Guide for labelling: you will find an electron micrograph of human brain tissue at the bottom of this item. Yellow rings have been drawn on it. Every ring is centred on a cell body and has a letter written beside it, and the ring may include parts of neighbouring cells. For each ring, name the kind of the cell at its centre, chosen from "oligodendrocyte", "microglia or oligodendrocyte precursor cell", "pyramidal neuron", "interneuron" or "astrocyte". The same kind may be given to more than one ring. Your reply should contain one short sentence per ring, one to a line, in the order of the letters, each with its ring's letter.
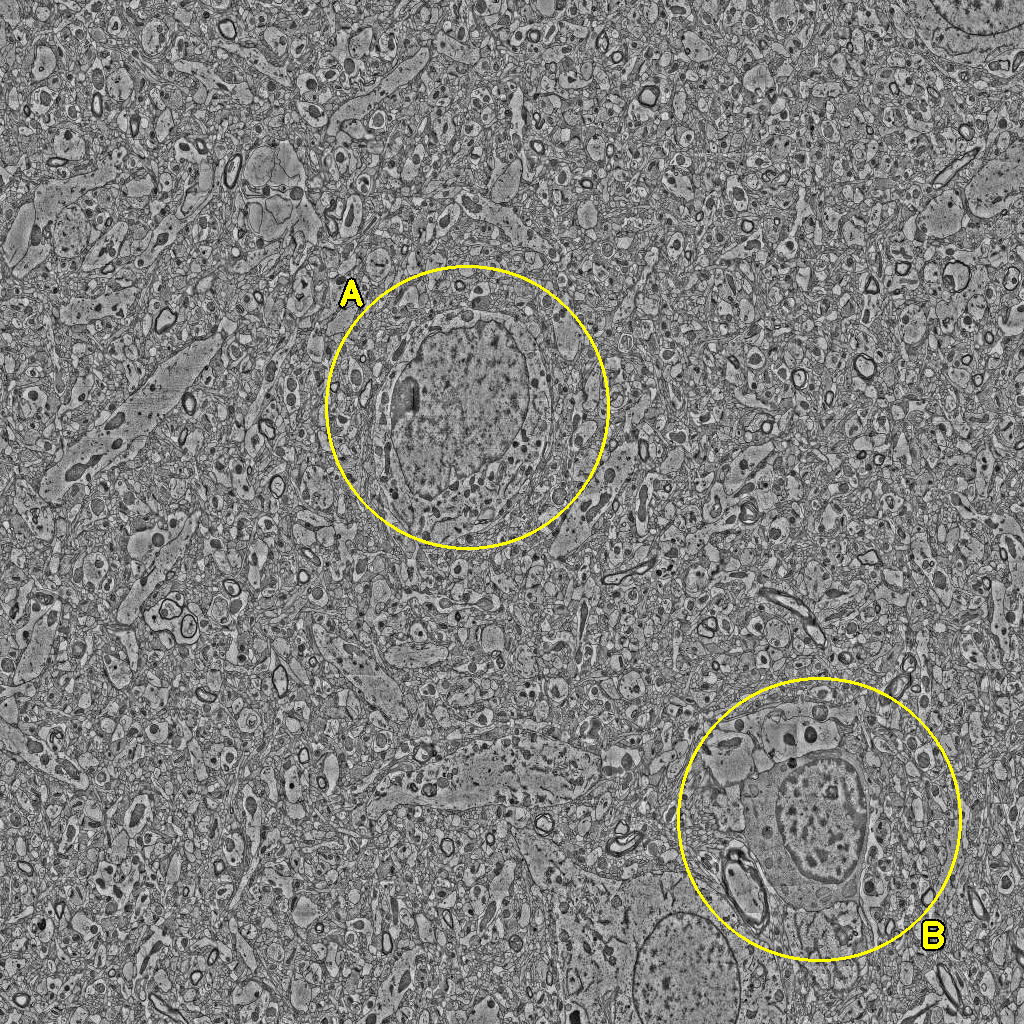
Ring A is centred on the body of an interneuron.
Ring B is centred on the body of an oligodendrocyte.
